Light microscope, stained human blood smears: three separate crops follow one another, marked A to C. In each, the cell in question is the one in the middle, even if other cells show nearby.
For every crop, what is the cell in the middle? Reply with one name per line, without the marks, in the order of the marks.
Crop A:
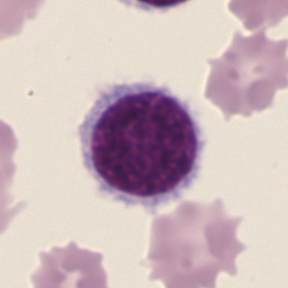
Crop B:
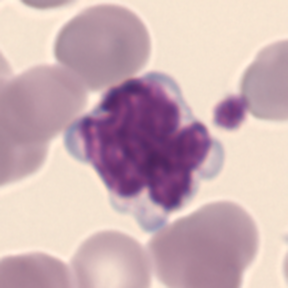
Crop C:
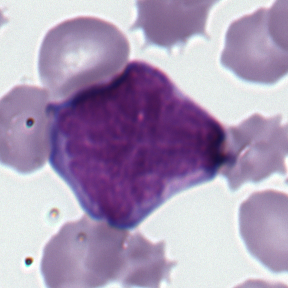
hairy cell
large granular lymphocyte
myeloblast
